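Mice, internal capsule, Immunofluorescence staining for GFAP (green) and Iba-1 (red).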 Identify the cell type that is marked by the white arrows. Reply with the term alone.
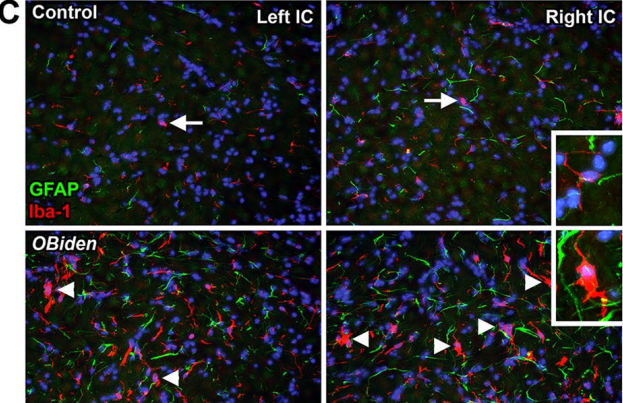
Quiescent microglia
